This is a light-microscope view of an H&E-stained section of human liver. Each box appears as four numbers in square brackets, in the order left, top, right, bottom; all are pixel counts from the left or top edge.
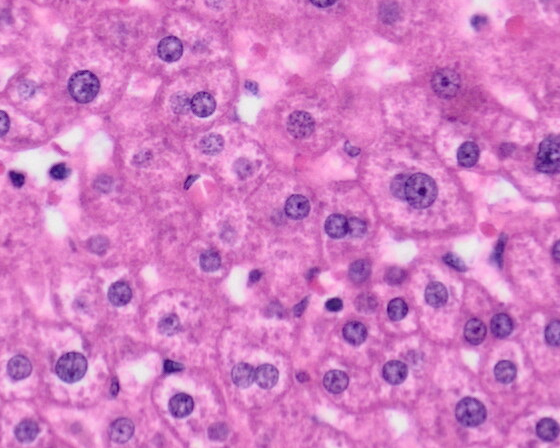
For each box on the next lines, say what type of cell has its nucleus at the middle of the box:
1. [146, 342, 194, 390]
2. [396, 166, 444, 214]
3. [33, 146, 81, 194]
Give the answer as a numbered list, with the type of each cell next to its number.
1. fibroblast or stellate cell
2. hepatocyte
3. lymphocyte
